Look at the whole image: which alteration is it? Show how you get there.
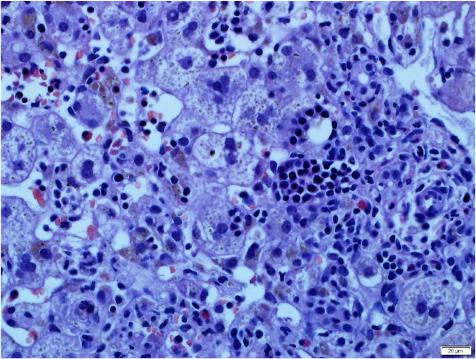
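Clusters of small cells with round, dense dark nuclei lie between the hepatocytes. These small cells sit in the spaces between liver cell plates. Large pale hepatocytes surround the clusters.
Hence: extramedullary heamatopoiesis.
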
